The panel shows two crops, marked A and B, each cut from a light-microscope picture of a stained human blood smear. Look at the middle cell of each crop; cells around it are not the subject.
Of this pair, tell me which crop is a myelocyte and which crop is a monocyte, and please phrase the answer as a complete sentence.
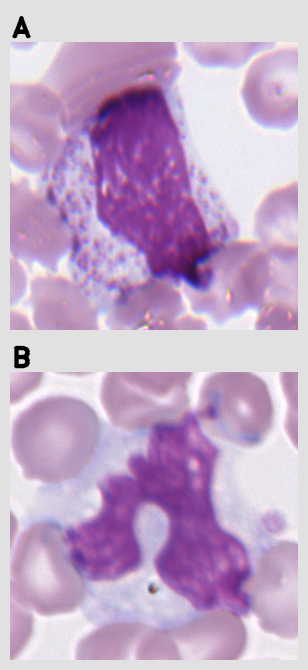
Crop A represents a myelocyte, while crop B represents a monocyte.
